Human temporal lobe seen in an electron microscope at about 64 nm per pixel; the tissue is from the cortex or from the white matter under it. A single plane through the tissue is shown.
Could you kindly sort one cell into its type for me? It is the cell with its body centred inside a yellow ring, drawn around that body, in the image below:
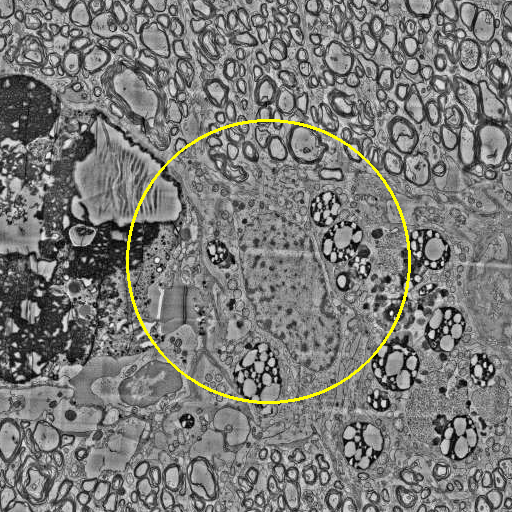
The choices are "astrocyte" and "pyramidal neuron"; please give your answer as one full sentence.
The cell whose body lies centred in the yellow ring here is an astrocyte.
